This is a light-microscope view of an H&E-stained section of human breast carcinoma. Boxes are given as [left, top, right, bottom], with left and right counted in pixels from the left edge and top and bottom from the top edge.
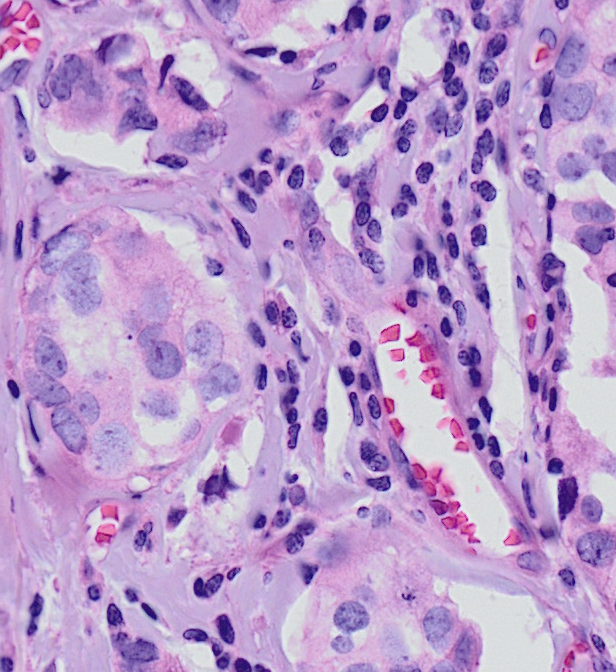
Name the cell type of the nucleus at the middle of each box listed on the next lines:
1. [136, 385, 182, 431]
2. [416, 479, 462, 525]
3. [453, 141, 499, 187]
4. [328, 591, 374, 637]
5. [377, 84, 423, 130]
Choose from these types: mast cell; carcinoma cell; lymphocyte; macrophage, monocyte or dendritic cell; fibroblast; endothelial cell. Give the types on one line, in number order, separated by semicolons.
carcinoma cell; endothelial cell; lymphocyte; carcinoma cell; lymphocyte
